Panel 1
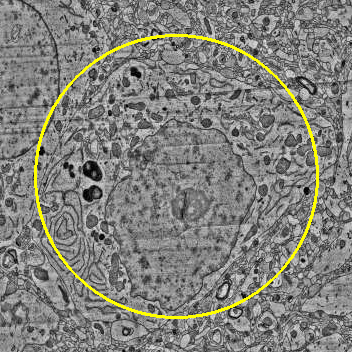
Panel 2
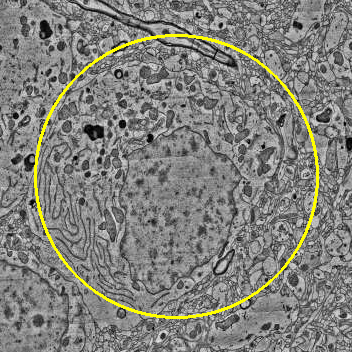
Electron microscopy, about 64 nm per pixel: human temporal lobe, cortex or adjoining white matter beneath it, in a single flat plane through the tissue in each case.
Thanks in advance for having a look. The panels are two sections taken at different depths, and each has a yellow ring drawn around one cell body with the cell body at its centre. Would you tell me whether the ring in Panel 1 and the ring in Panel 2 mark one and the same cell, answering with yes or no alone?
yes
